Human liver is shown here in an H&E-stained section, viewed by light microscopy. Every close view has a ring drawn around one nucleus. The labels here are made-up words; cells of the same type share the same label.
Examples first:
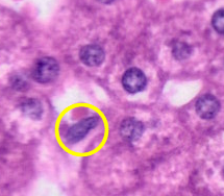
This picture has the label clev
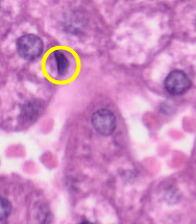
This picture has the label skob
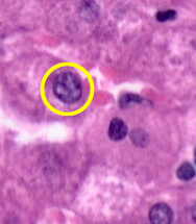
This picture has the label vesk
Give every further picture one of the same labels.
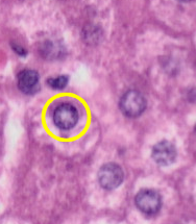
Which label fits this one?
vesk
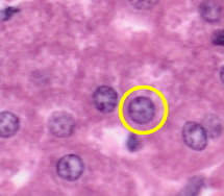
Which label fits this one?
vesk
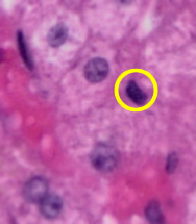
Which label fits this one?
skob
